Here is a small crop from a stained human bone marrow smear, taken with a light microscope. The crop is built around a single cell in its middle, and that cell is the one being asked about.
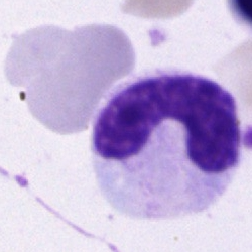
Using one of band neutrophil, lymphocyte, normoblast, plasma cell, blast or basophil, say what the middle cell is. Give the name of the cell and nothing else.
band neutrophil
